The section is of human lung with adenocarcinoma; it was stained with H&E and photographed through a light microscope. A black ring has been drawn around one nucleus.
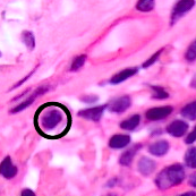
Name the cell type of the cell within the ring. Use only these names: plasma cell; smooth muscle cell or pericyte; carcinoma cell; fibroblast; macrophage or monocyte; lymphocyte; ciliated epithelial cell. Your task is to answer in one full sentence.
The identity of the cell within the ring is that of a lymphocyte.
